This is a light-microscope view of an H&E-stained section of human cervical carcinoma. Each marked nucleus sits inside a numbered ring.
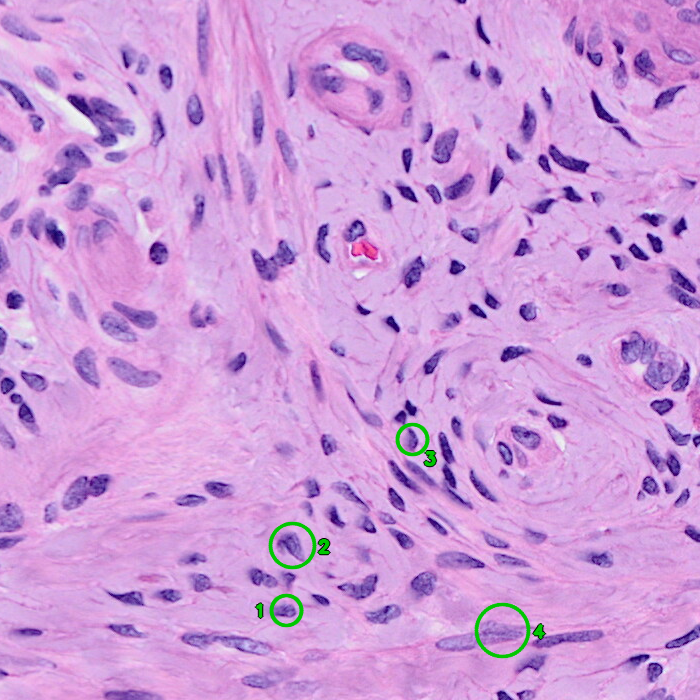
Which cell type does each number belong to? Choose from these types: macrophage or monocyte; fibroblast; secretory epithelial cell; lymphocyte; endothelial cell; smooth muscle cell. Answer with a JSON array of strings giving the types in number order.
["fibroblast", "fibroblast", "fibroblast", "smooth muscle cell"]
